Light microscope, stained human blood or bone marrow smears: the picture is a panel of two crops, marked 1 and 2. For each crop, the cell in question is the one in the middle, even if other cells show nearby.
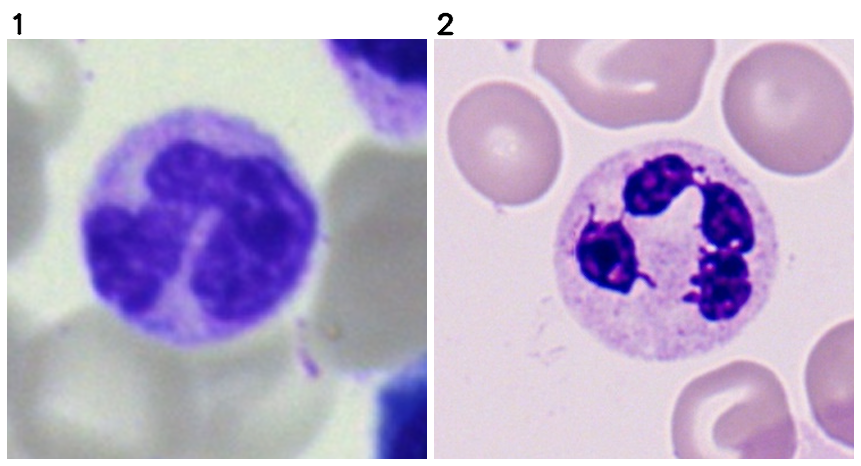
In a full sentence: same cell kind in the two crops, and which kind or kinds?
Yes, segmented neutrophils are present at the centre of both crops.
